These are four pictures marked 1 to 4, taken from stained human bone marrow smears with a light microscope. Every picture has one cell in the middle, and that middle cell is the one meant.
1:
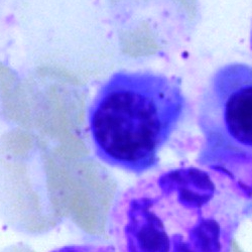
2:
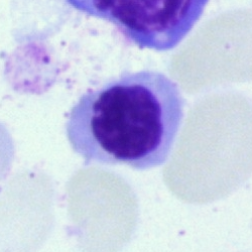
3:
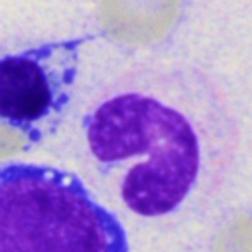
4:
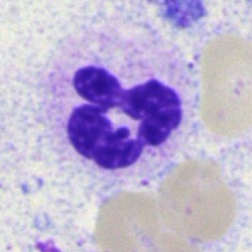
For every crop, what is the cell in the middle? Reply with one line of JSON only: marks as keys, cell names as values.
{"1": "normoblast", "2": "normoblast", "3": "band neutrophil", "4": "segmented neutrophil"}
